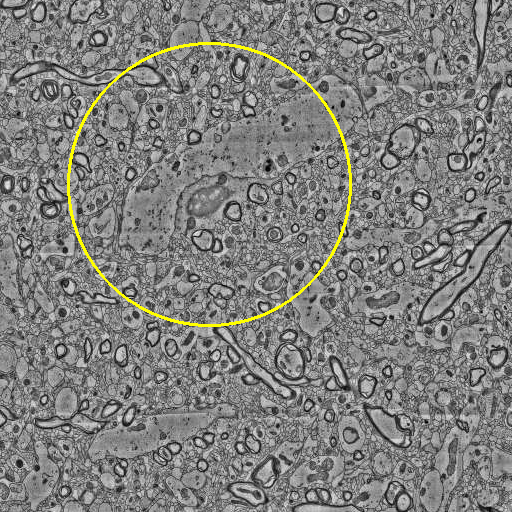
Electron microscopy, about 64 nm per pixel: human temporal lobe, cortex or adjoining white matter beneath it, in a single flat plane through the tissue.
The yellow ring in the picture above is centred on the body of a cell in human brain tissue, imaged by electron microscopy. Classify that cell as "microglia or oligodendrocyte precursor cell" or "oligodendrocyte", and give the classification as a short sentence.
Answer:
The cell in the middle of the ring is an oligodendrocyte.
